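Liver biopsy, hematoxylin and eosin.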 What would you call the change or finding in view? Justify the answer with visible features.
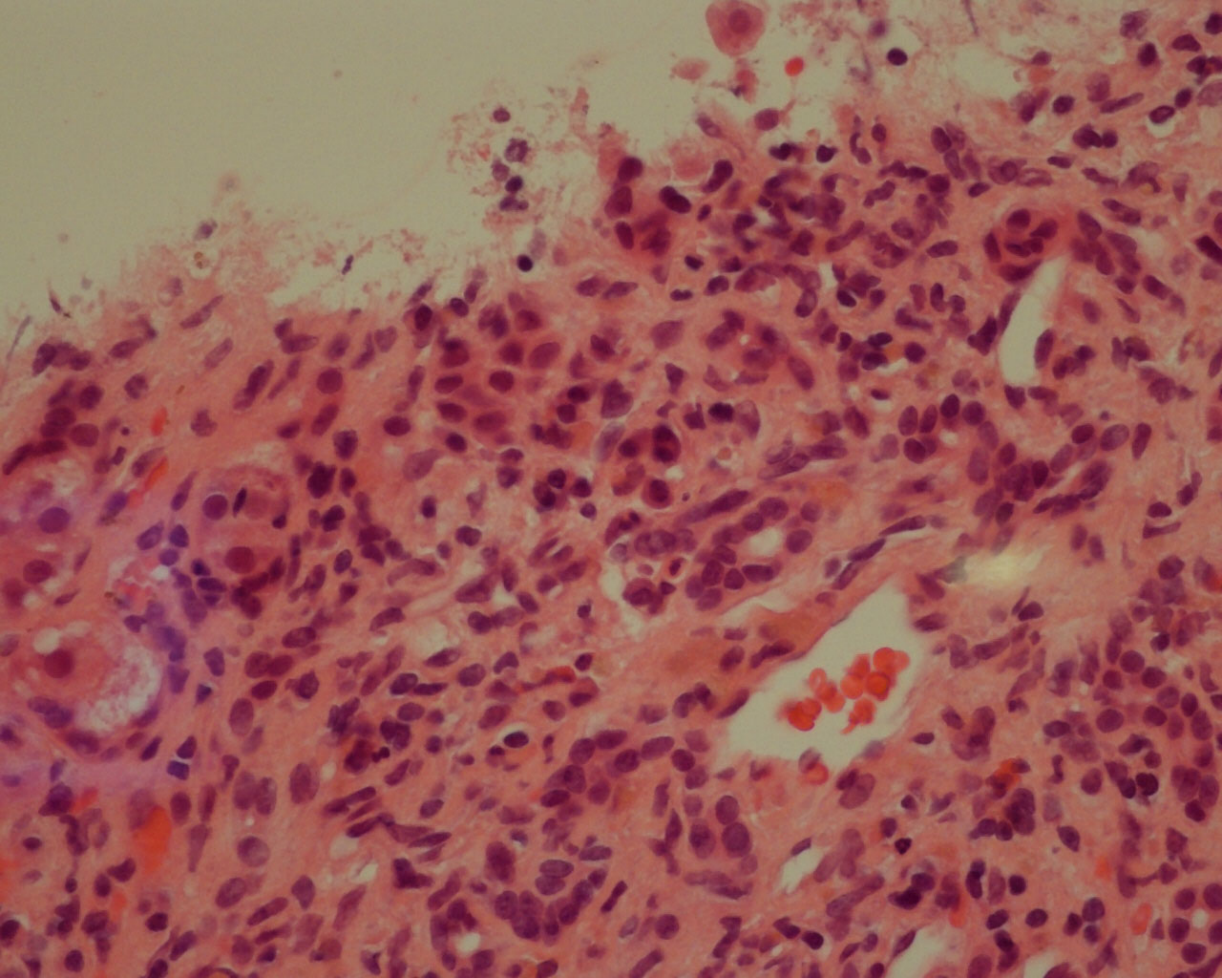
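The field is densely crowded with small cells with dark purple nuclei. Most of these nuclei are round to oval, with little cytoplasm around them. These cells lie scattered through pink fibrous stroma.
Conclusion: chronic inflammatory cell infiltrate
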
